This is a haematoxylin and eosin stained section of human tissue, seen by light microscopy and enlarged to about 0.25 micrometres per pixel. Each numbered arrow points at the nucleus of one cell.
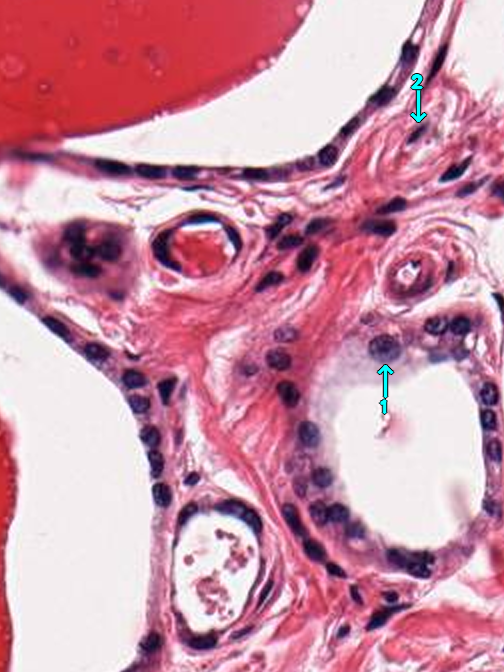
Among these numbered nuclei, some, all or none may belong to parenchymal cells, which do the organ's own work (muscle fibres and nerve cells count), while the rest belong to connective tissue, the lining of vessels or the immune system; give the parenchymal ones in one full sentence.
As for the numbered nuclei, only nucleus 1 belongs to a parenchymal cell.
